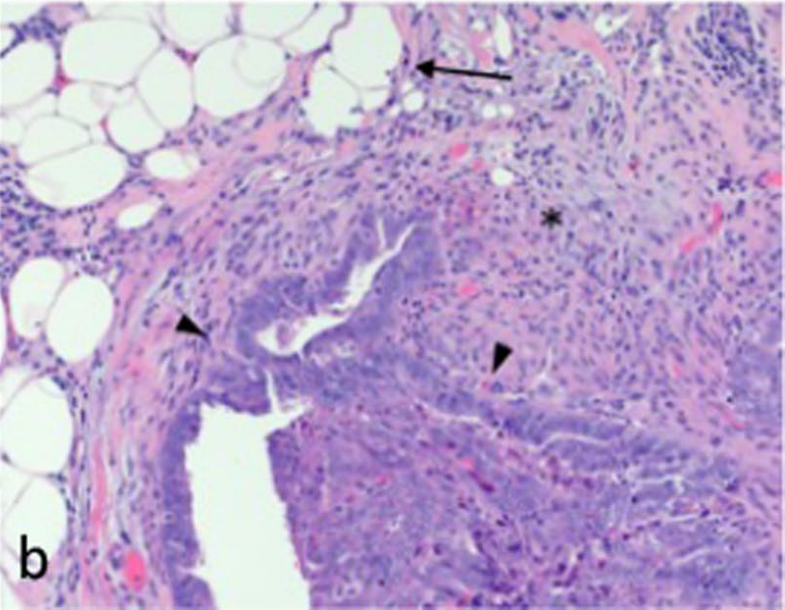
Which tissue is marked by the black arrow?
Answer: adipose tissue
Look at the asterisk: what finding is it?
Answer: Desmoplastic stromal response.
